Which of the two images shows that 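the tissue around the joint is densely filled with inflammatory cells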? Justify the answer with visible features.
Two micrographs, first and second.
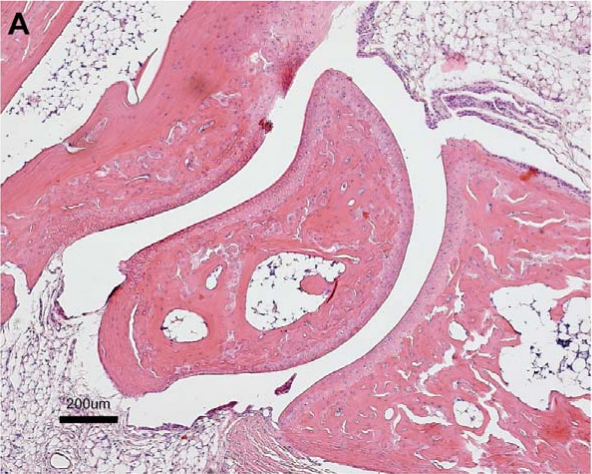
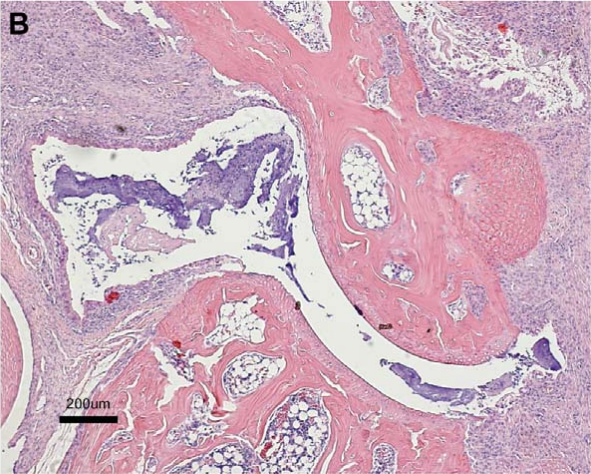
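Second image: dense sheets of purple-staining cells surround the joint, and purple material fills part of the joint space. First image: the joint space is empty and clear, and the surrounding soft tissue is pale, loose and fatty with few nuclei. On this evidence: the second image.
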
